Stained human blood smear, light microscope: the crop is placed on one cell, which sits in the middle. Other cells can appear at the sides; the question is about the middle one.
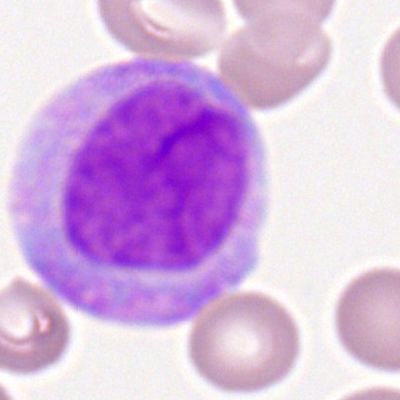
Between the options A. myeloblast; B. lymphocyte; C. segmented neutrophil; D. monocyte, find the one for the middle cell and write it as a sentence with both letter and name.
Identified correctly by option D, the cell in the middle is a monocyte.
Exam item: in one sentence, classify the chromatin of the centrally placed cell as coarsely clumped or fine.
The nuclear chromatin is fine, showing no coarse aggregates.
